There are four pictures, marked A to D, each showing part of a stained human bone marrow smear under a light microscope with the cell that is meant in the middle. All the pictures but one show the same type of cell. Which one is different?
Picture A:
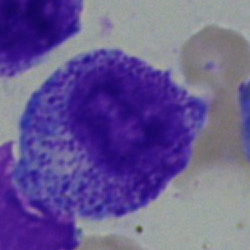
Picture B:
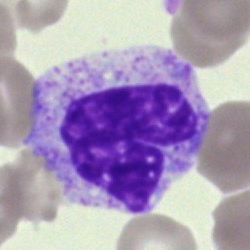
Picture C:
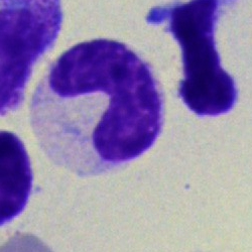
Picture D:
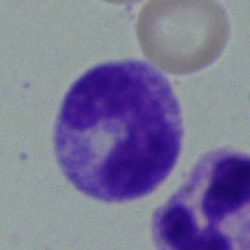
A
